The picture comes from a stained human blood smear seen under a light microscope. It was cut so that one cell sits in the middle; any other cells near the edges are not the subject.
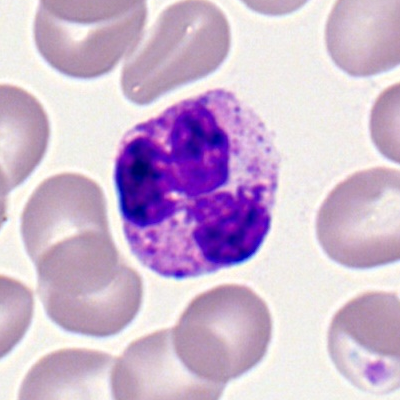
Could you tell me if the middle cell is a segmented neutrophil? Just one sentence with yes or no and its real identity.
No, calling it a segmented neutrophil is wrong; the middle cell is a basophil.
